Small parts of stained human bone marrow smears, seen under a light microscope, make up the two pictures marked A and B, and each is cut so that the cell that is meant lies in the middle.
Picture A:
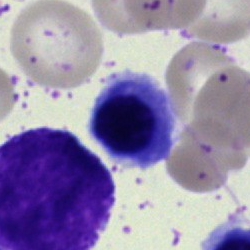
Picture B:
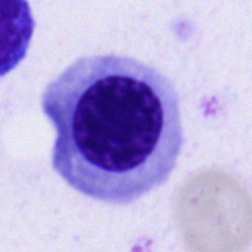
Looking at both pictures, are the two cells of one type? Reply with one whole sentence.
Yes, the two pictures both show erythroblasts.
